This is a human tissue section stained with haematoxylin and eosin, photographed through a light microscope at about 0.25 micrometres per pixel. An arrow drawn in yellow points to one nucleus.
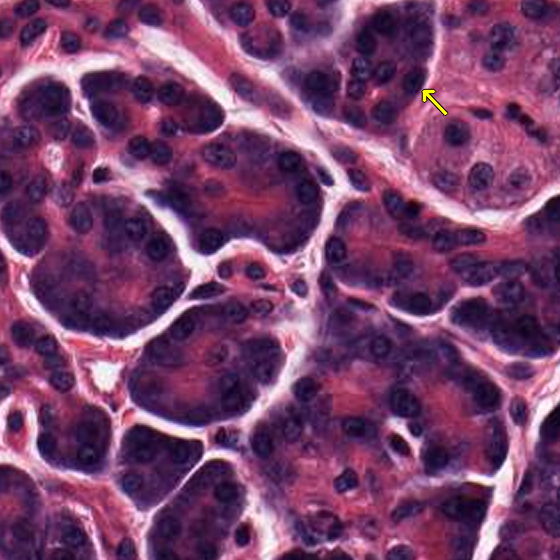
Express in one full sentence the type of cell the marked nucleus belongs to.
The cell that the marked nucleus belongs to is a pancreatic acinar cell.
